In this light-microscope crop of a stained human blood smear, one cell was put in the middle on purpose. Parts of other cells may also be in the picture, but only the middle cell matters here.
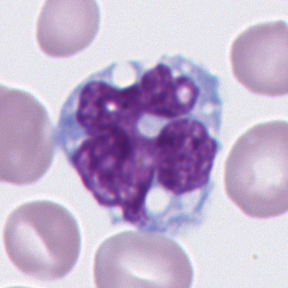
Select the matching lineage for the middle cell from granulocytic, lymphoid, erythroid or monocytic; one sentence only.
The cell that sits at the center is attributed to the monocytic lineage.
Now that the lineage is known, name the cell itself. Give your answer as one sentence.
The cell around which this crop is centred is a monocyte.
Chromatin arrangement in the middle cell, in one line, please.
Thanks for asking; the chromatin is coarsely clumped.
